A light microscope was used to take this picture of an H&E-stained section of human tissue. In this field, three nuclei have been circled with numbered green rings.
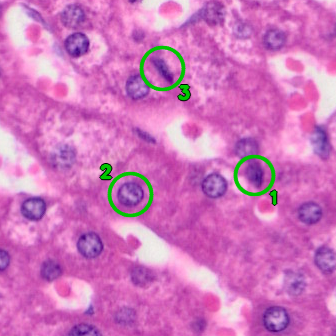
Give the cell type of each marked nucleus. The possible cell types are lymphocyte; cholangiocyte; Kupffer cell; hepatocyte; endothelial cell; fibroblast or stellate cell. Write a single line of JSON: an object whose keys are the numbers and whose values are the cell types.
{"1": "fibroblast or stellate cell", "2": "hepatocyte", "3": "fibroblast or stellate cell"}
